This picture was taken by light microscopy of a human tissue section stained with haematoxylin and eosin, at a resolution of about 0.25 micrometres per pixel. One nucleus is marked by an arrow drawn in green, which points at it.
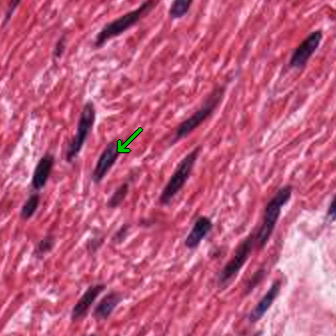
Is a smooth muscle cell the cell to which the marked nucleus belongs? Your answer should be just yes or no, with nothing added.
yes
